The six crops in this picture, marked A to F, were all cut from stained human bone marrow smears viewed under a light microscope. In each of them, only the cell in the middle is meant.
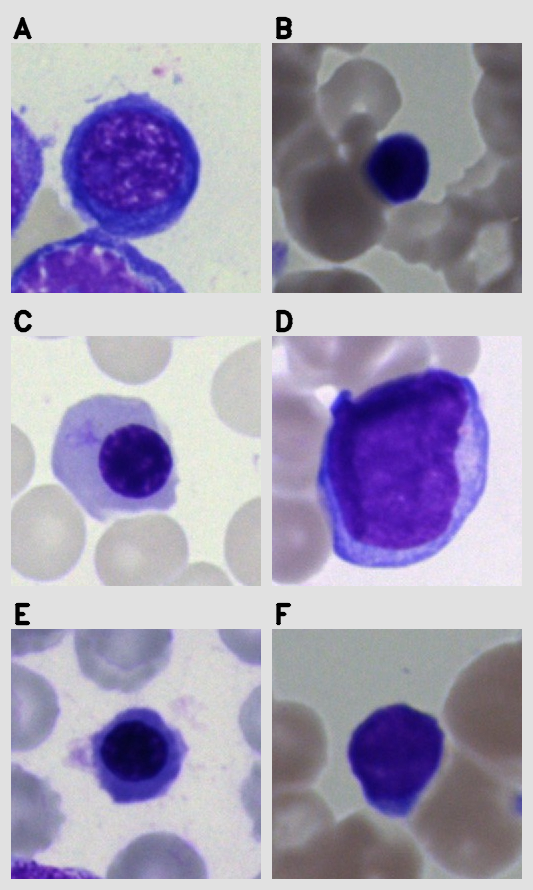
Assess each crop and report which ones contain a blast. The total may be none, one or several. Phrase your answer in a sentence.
The single crop containing a blast is crop D.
